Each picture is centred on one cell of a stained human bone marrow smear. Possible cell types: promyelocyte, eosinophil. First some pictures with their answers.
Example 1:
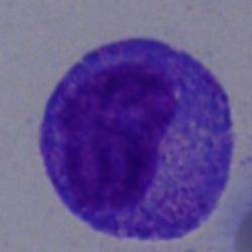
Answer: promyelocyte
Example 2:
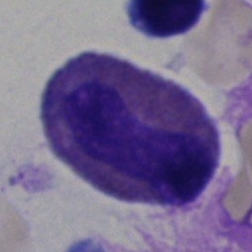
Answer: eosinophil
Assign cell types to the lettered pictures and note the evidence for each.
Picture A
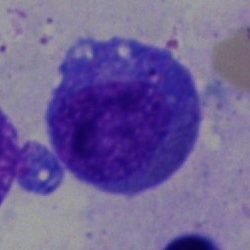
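Answer: promyelocyte. The nuclear chromatin is purple and finely textured rather than in coarse clumps.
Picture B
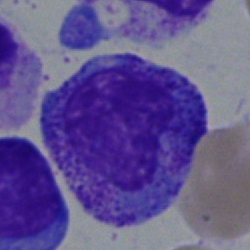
Answer: promyelocyte. The chromatin is fine and lacy rather than coarsely clumped.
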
